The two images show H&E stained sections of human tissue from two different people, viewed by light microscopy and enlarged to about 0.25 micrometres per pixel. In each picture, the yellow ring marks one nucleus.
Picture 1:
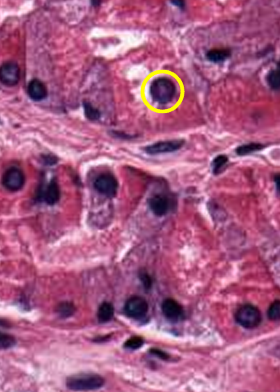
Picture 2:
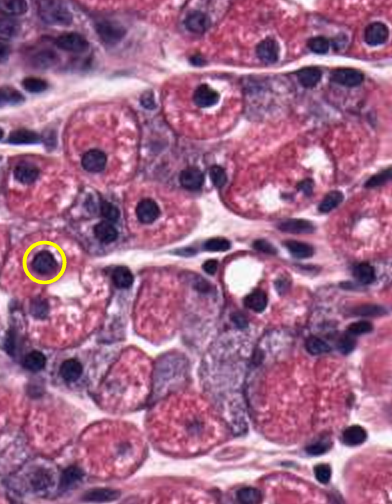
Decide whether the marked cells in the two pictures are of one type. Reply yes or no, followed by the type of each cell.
Yes, both are parietal cells.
